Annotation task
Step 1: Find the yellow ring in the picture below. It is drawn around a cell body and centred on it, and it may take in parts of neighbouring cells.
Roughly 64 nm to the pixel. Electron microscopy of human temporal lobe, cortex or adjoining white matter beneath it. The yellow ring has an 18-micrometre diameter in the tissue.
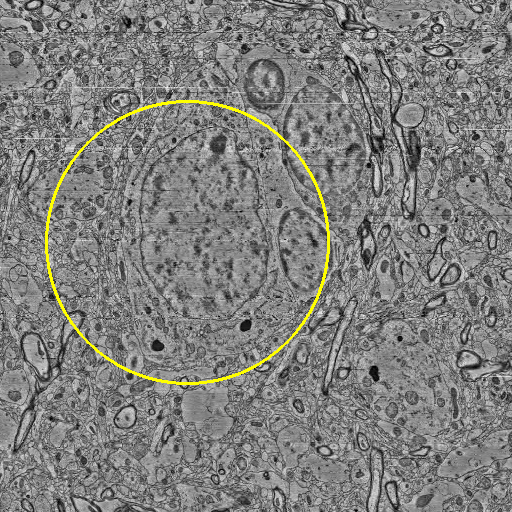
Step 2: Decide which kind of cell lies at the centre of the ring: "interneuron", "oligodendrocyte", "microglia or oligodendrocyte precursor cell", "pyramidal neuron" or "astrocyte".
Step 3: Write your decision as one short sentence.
The kind of cell at the ring's centre is an interneuron.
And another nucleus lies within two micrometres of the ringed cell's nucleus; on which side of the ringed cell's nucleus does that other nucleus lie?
That other nucleus appears to the right of it.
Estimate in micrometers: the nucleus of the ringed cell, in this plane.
The nucleus is about 13 micrometres in length and 8 in width, clearly longer than it is wide in this plane.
